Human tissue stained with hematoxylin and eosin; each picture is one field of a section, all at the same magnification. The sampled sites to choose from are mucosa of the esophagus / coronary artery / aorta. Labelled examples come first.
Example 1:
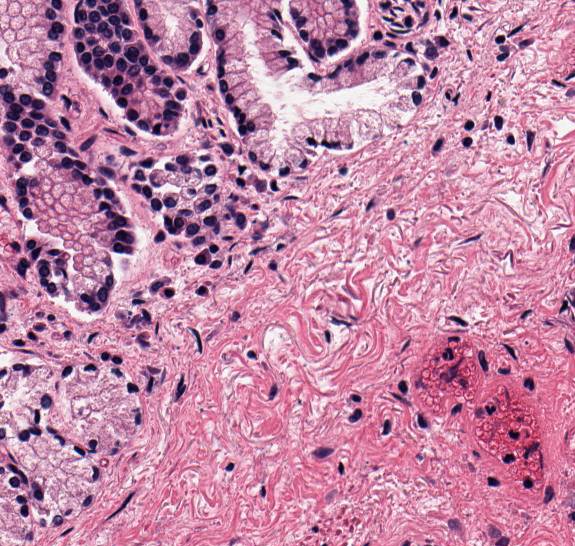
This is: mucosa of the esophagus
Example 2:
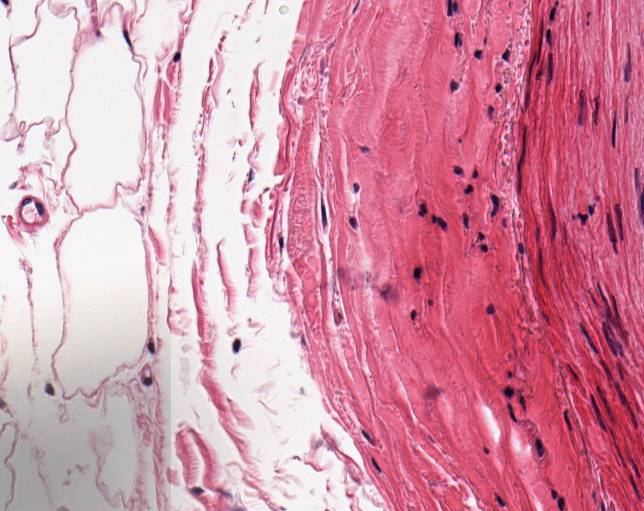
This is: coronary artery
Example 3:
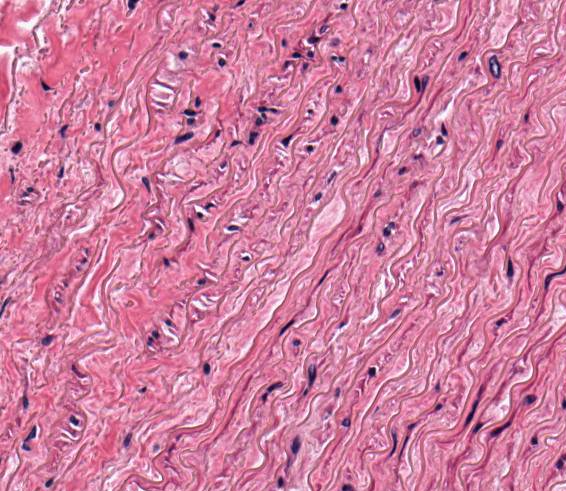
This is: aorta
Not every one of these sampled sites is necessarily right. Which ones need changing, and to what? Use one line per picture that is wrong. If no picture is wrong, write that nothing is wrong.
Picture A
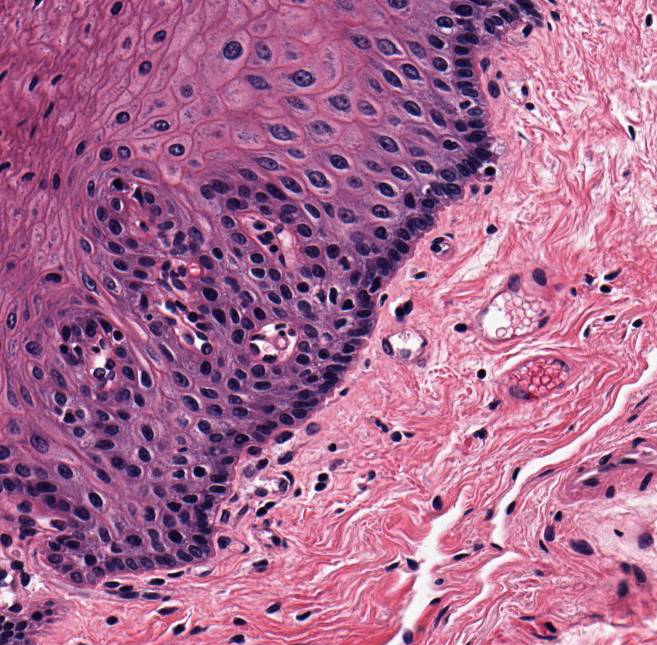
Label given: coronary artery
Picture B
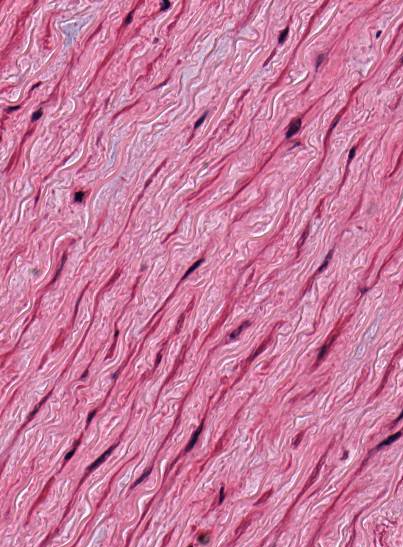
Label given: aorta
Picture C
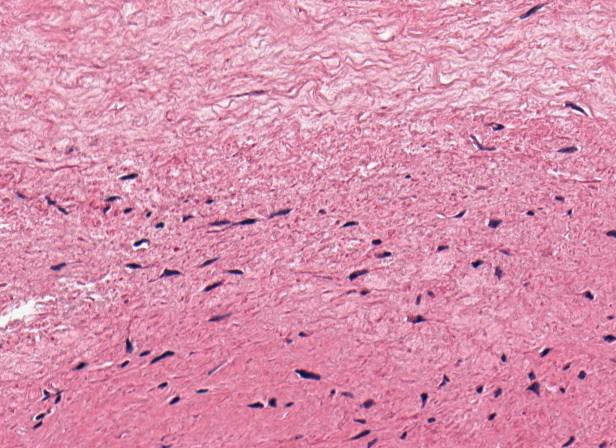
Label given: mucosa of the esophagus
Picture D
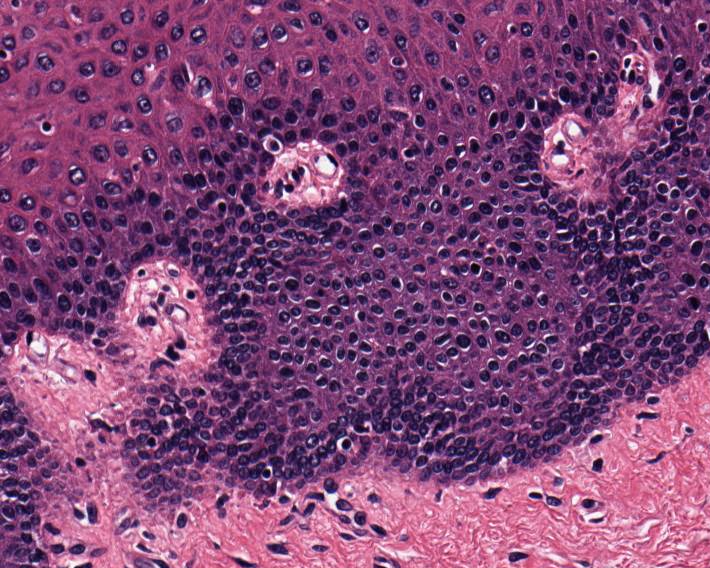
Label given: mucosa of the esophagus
A is labelled coronary artery; correct label: mucosa of the esophagus
C is labelled mucosa of the esophagus; correct label: coronary artery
